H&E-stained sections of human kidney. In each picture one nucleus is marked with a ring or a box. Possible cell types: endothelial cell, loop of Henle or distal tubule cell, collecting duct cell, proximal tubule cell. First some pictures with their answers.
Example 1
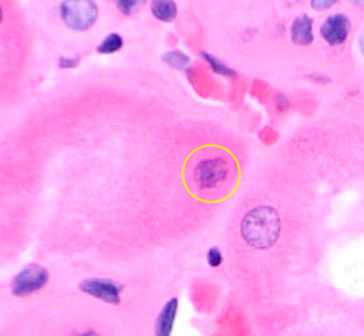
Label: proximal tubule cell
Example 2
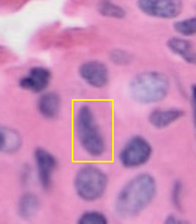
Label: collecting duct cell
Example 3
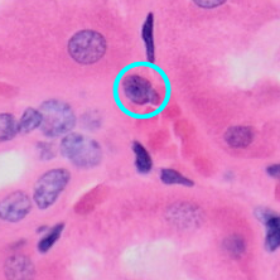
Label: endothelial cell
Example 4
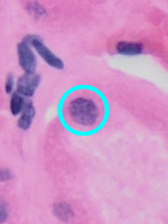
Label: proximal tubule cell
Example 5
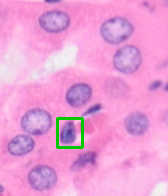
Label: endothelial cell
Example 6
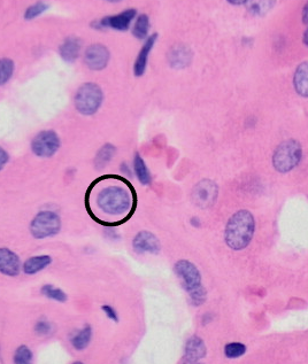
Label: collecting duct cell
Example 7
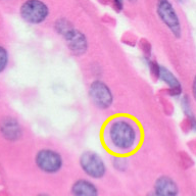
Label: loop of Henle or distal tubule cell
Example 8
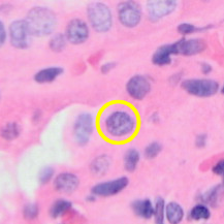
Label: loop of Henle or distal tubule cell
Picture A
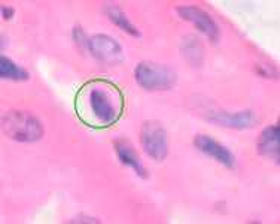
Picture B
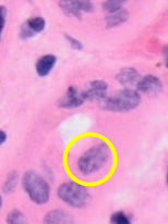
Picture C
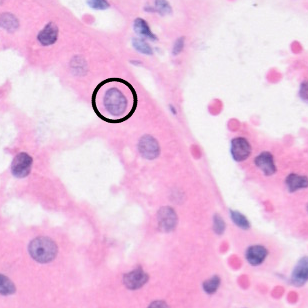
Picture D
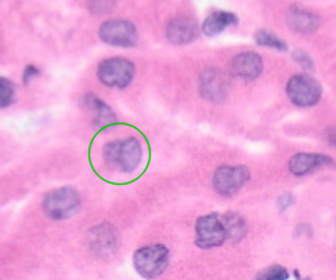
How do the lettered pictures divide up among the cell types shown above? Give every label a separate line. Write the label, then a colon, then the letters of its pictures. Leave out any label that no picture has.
endothelial cell: A
collecting duct cell: B
proximal tubule cell: C, D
